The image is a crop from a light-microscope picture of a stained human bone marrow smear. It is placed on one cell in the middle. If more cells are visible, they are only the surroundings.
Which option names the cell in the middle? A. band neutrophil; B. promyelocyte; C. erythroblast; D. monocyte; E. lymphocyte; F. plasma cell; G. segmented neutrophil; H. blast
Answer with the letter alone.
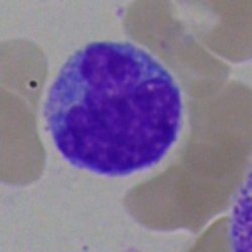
D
